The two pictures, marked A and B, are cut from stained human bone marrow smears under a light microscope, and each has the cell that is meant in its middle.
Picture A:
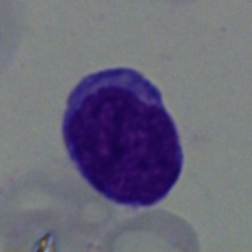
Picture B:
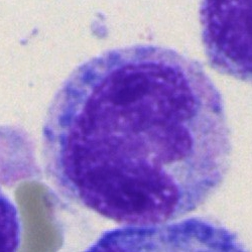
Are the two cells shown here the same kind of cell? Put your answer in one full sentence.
No, the types are not the same, since picture A shows a blast and picture B a monocyte.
